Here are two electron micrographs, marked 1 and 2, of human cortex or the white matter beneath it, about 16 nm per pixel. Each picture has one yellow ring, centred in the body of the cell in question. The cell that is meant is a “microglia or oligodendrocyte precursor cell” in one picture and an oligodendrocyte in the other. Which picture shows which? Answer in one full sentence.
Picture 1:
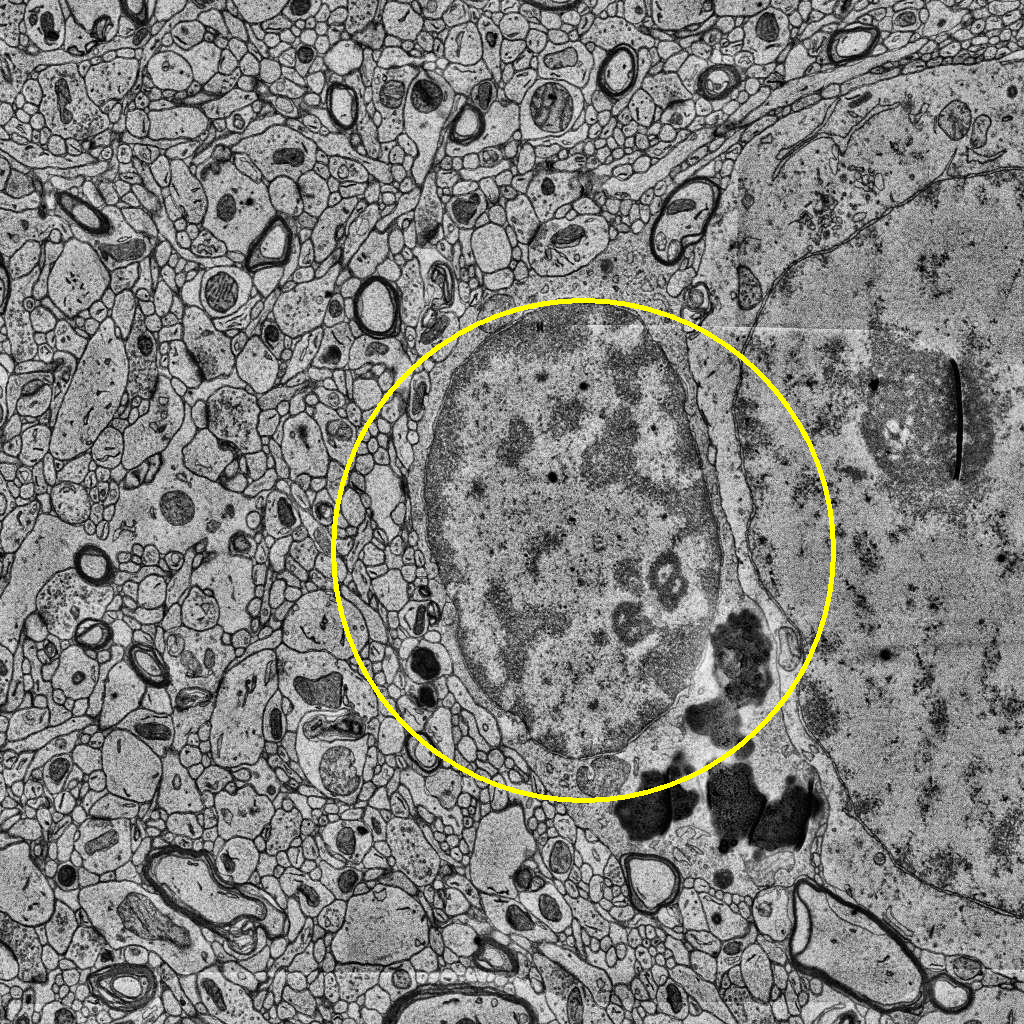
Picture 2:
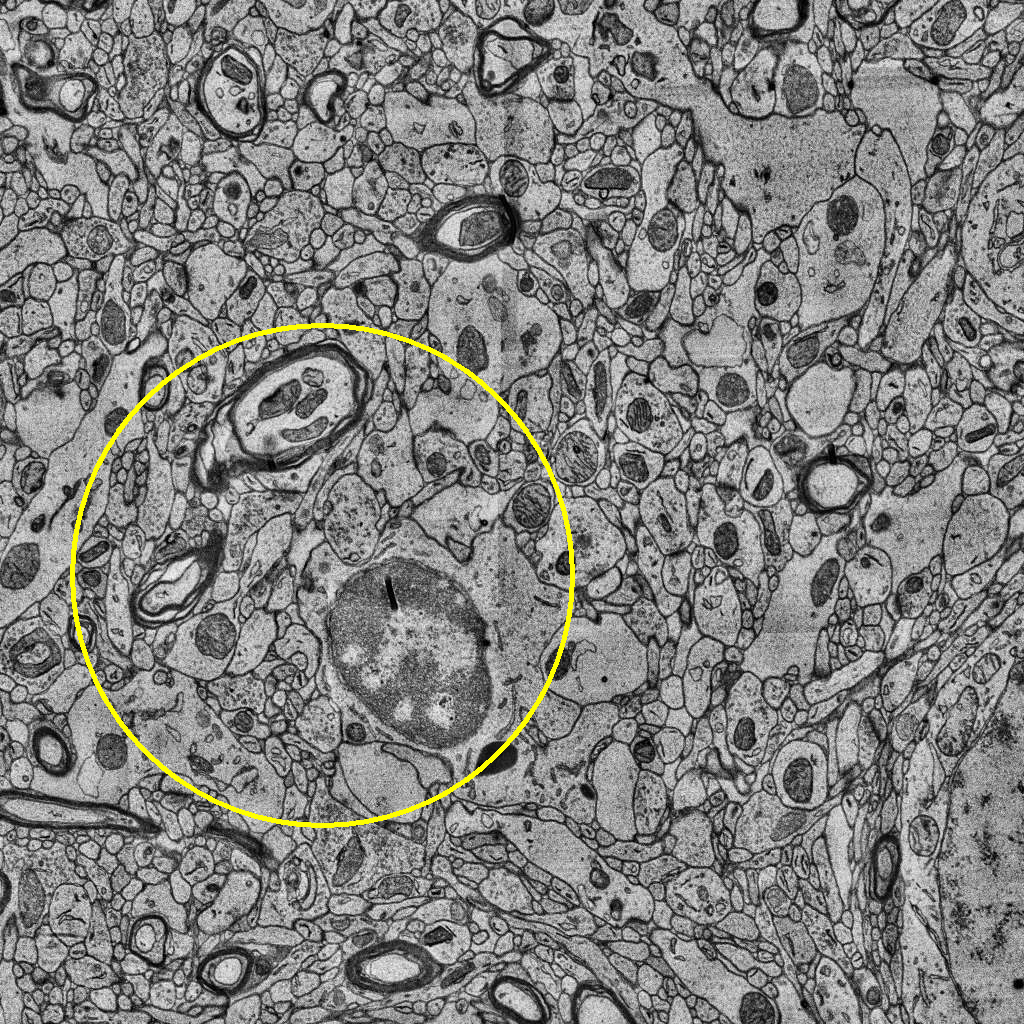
The cell in picture 1 is an oligodendrocyte, and the one in picture 2 is a “microglia or oligodendrocyte precursor cell”.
